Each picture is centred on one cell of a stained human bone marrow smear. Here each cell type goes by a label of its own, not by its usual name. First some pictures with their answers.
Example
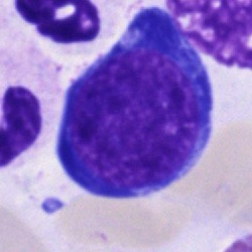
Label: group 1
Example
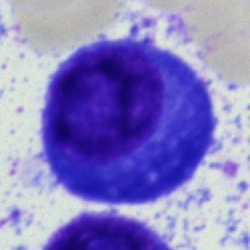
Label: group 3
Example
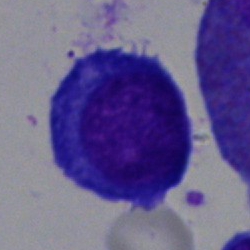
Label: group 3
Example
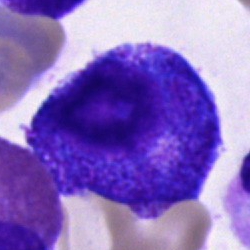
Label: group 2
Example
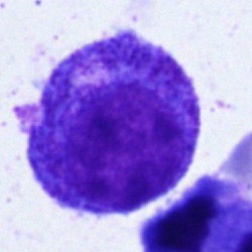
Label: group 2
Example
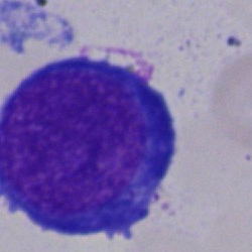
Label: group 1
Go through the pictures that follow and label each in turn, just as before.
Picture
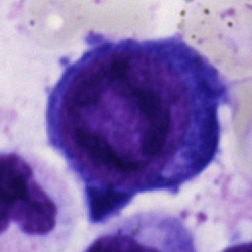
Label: group 1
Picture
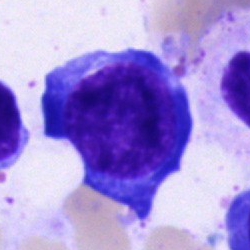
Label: group 1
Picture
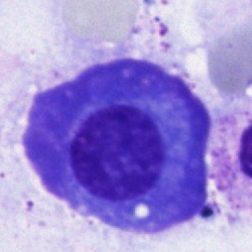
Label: group 3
